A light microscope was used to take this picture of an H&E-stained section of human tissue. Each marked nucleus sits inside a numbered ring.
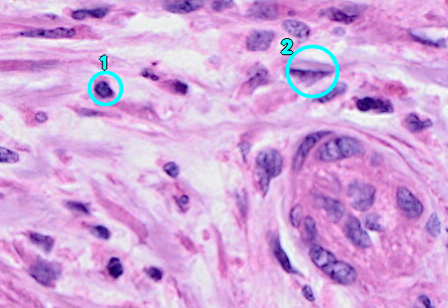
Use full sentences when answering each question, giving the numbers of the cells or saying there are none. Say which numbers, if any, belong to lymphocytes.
Cell 1 is the only numbered cell that is a lymphocyte.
